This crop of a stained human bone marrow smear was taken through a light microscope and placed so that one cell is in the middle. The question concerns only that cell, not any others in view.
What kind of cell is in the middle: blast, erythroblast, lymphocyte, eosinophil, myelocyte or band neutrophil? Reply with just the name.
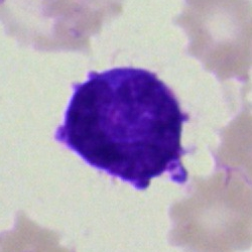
blast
